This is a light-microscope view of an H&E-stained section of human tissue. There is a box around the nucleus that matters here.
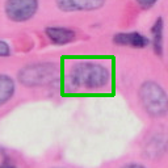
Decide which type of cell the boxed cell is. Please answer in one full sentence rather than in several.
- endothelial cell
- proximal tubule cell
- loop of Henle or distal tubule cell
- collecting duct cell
Placed in its cell category, the boxed cell is a collecting duct cell.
